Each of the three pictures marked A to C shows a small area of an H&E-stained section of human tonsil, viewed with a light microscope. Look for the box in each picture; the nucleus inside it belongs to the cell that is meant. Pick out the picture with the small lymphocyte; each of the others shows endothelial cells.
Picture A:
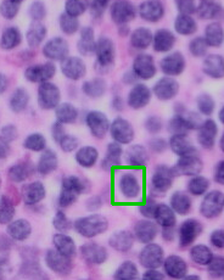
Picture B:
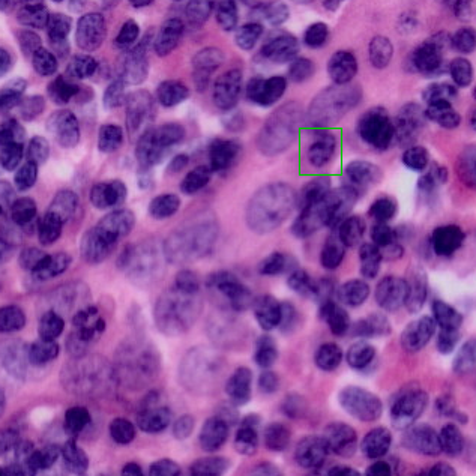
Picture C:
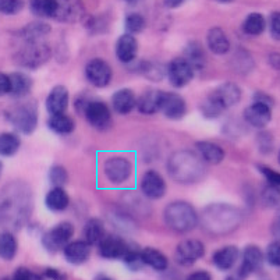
A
